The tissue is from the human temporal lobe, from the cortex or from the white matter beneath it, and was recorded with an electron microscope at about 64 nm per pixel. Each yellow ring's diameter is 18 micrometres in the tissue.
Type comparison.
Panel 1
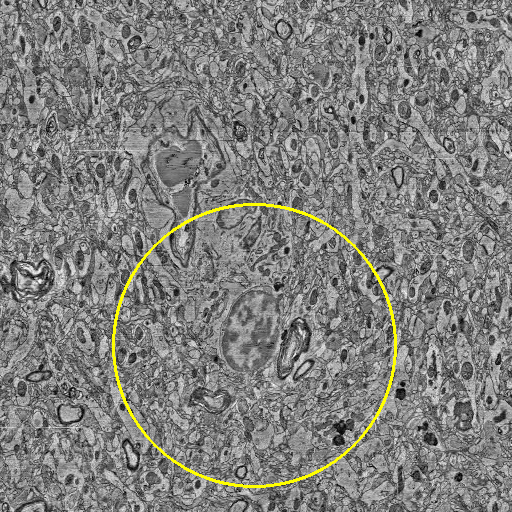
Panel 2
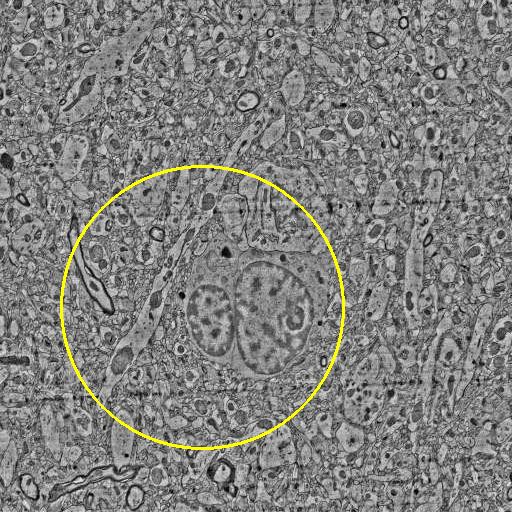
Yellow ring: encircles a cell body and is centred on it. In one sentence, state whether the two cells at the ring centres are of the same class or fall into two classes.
In these panels, the two cells at the ring centres are of the same class.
